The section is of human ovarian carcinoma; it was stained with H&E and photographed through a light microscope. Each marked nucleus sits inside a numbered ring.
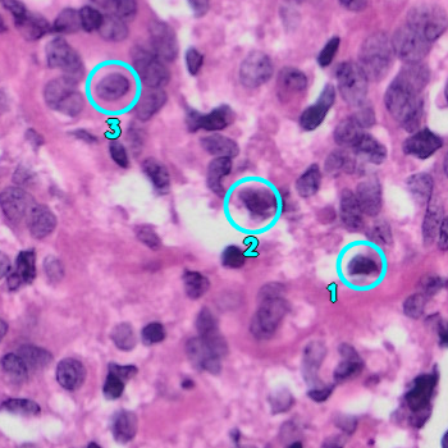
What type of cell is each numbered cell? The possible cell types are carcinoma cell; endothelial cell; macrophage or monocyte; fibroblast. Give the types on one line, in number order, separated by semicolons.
carcinoma cell; carcinoma cell; macrophage or monocyte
